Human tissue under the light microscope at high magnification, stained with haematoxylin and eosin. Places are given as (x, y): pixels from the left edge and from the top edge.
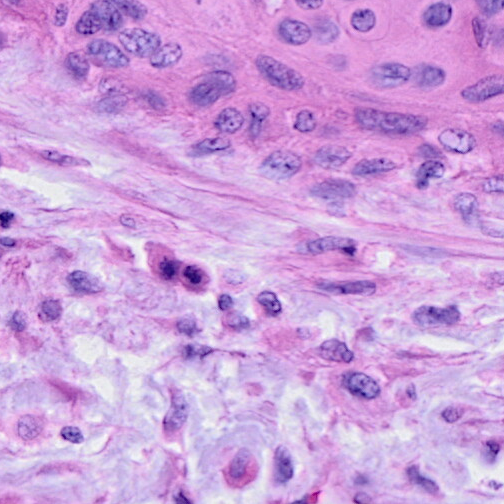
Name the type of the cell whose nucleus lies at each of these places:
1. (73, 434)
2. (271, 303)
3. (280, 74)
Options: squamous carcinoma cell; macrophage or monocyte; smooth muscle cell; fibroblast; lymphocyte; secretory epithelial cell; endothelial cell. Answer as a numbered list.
1. lymphocyte
2. macrophage or monocyte
3. squamous carcinoma cell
